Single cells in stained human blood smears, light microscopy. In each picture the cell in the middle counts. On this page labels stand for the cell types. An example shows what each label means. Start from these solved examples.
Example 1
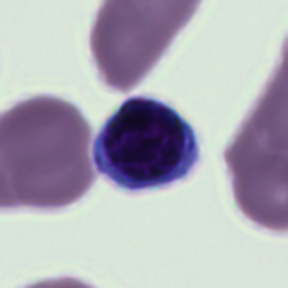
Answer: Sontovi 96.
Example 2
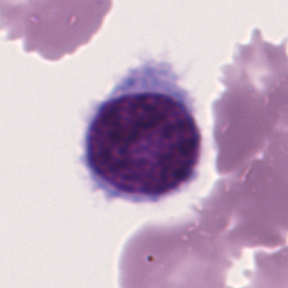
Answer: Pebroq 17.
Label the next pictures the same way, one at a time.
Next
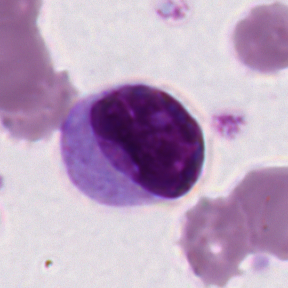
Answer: Sontovi 96.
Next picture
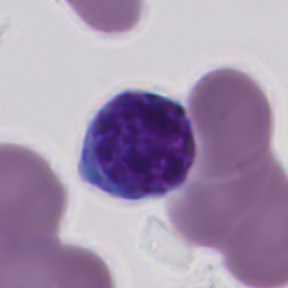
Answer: Sontovi 96.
